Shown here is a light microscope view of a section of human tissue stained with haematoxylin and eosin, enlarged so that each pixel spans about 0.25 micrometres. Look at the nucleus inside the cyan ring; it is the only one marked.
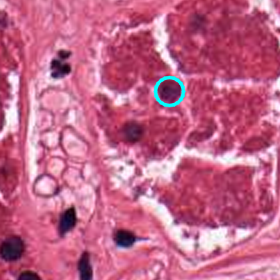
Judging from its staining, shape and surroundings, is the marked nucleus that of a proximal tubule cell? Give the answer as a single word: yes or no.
yes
